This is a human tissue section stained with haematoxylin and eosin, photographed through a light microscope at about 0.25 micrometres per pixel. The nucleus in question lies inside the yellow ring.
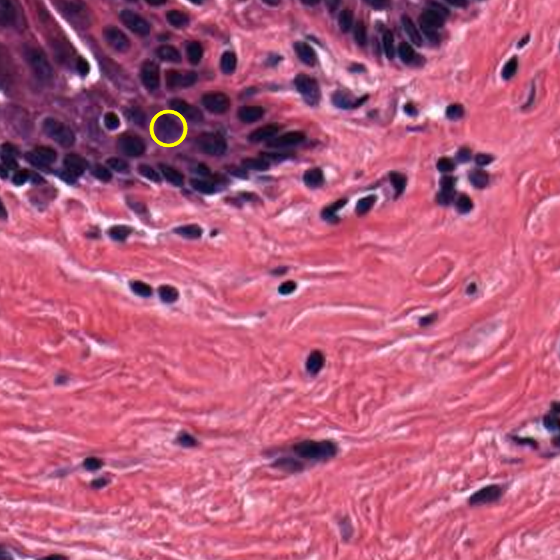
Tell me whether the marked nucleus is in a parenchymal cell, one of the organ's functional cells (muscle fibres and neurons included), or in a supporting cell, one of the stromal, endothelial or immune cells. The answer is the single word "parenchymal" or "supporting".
parenchymal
